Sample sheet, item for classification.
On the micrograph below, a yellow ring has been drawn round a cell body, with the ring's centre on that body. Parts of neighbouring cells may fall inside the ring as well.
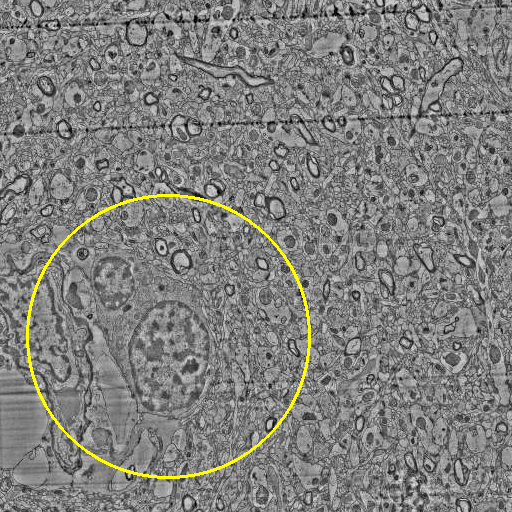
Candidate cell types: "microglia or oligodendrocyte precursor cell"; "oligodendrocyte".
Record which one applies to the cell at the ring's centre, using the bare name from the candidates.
oligodendrocyte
